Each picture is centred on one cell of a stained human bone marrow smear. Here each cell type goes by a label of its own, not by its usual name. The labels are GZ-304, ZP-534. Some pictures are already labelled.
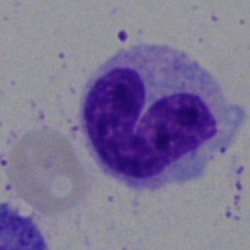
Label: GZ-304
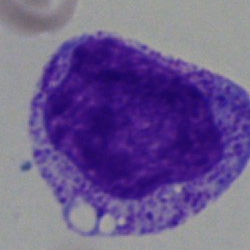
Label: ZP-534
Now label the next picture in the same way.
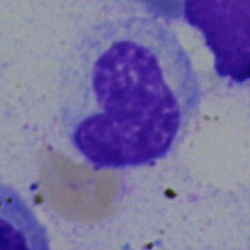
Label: GZ-304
